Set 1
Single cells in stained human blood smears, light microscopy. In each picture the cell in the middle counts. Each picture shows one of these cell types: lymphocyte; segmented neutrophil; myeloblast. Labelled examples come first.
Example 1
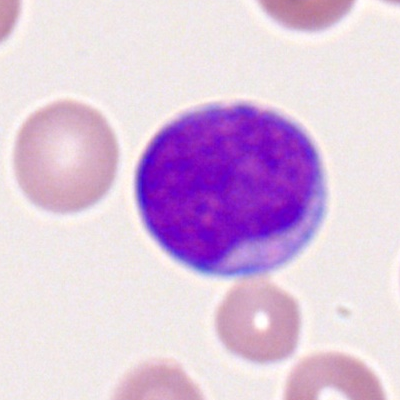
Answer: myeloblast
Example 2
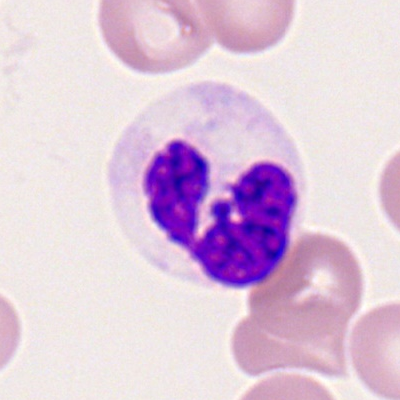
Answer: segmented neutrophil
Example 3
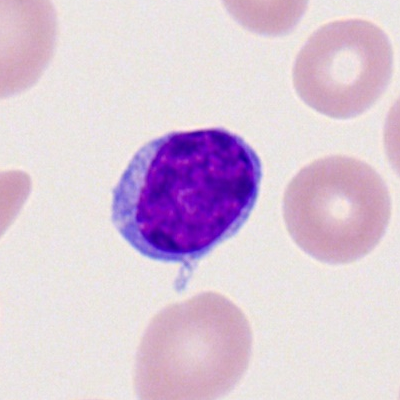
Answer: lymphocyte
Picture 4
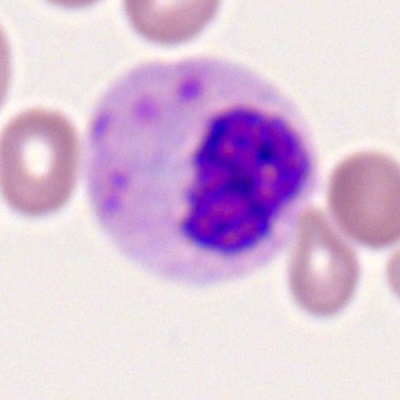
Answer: segmented neutrophil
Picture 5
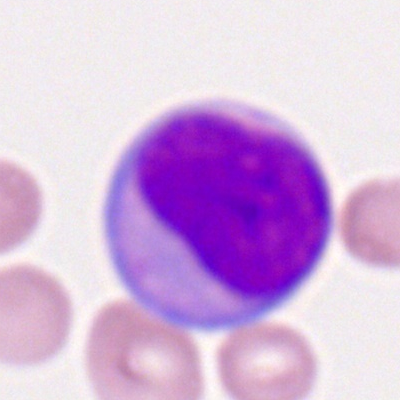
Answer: myeloblast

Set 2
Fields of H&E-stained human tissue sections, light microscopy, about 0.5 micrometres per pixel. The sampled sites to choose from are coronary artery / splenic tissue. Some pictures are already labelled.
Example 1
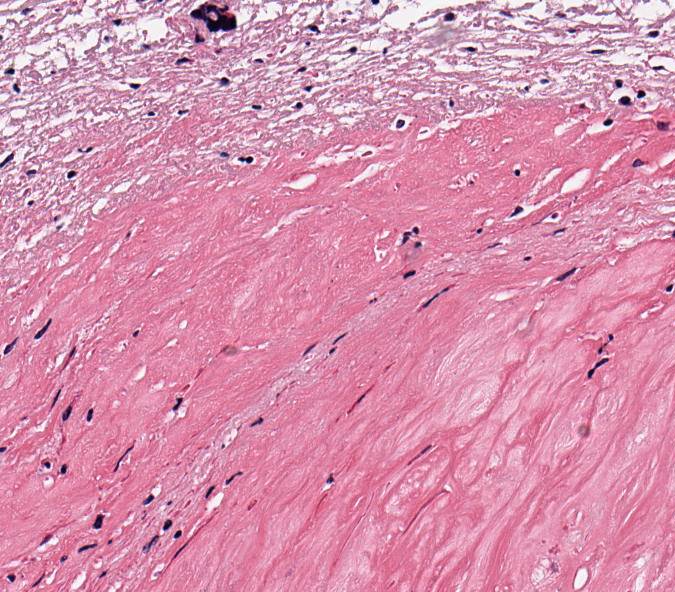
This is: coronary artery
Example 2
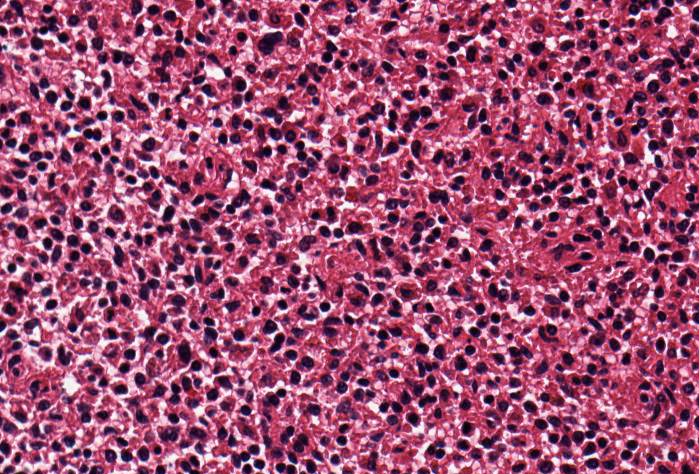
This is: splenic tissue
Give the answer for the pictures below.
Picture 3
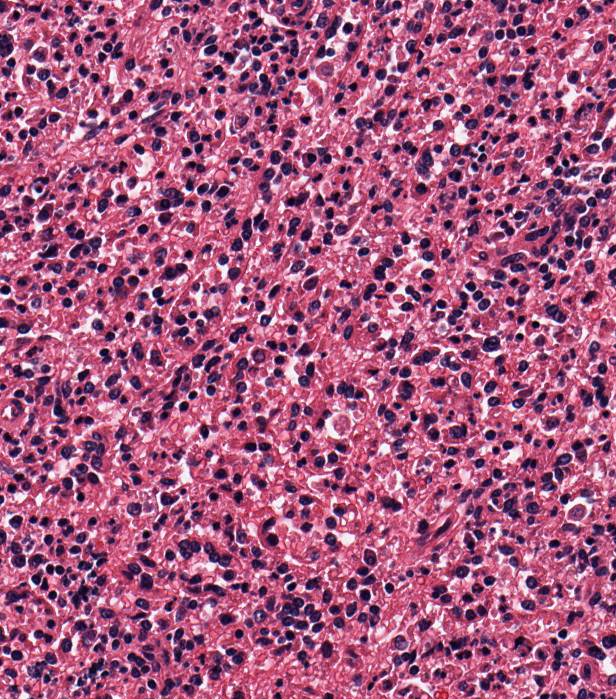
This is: splenic tissue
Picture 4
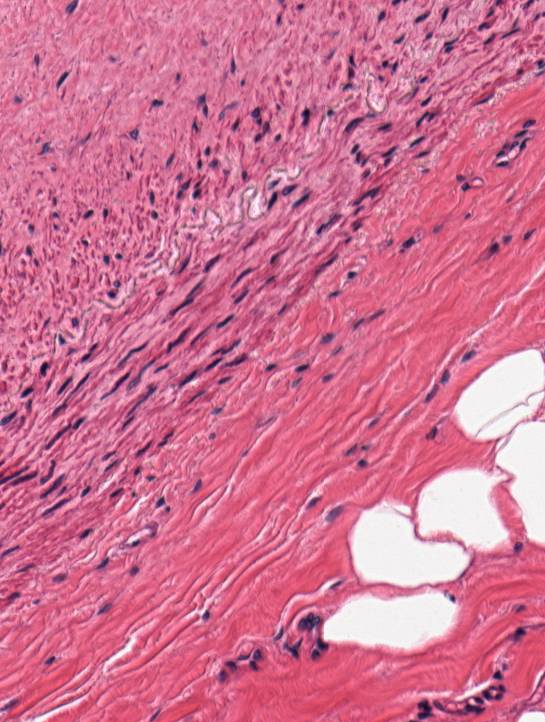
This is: coronary artery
